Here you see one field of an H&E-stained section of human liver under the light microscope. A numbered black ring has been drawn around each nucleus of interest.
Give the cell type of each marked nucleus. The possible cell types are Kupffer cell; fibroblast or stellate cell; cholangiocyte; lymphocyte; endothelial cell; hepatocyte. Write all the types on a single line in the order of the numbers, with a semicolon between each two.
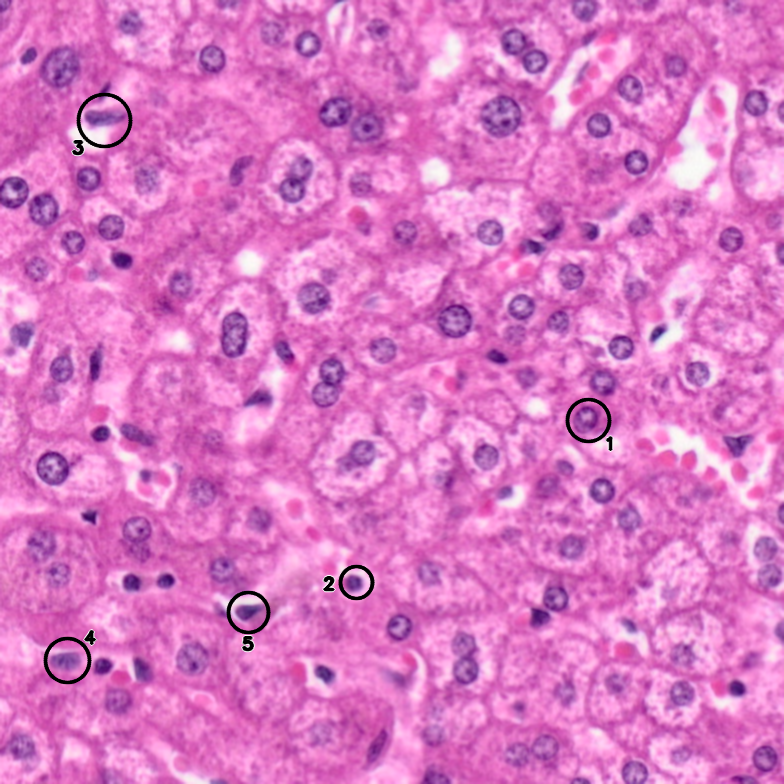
hepatocyte; lymphocyte; Kupffer cell; endothelial cell; Kupffer cell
